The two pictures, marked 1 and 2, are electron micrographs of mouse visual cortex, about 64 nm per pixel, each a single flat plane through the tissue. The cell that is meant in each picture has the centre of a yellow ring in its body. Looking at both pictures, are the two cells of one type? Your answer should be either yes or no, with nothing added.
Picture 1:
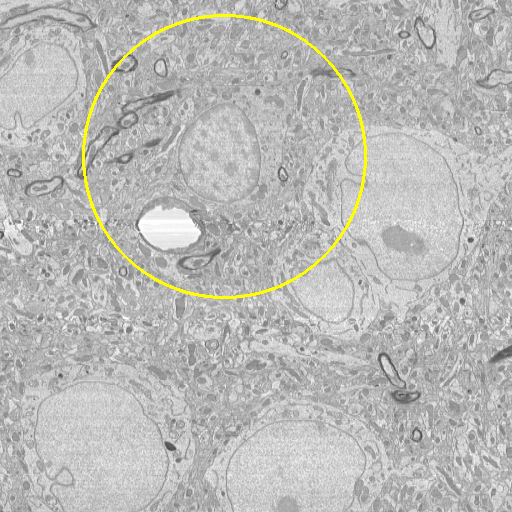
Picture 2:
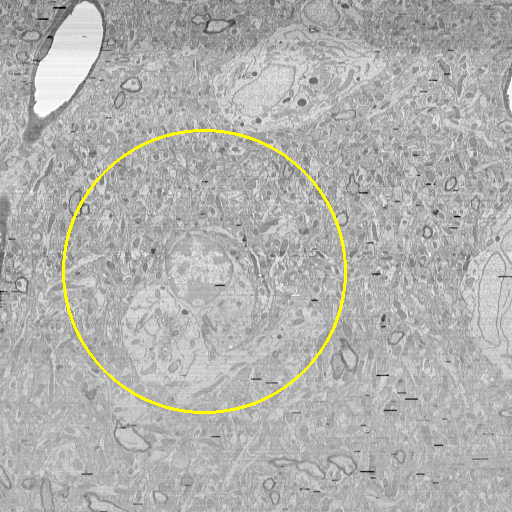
yes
